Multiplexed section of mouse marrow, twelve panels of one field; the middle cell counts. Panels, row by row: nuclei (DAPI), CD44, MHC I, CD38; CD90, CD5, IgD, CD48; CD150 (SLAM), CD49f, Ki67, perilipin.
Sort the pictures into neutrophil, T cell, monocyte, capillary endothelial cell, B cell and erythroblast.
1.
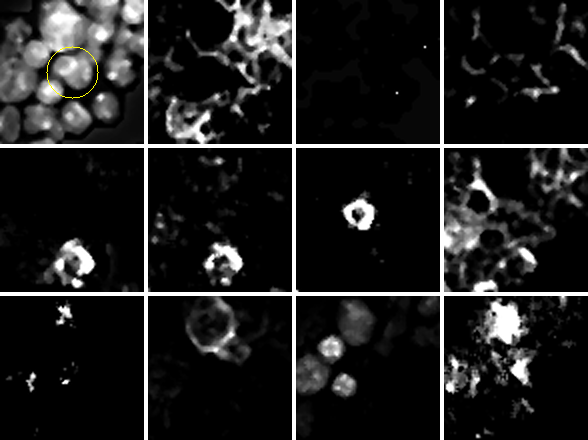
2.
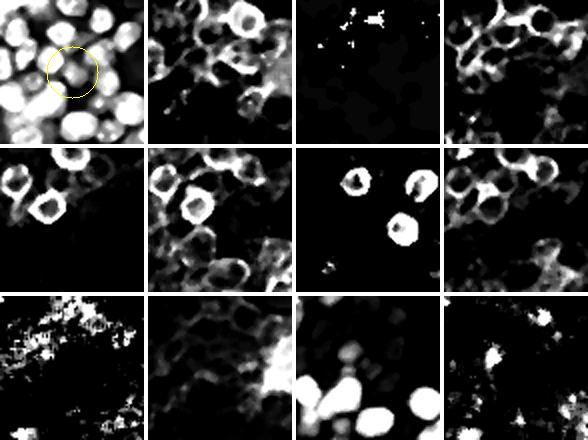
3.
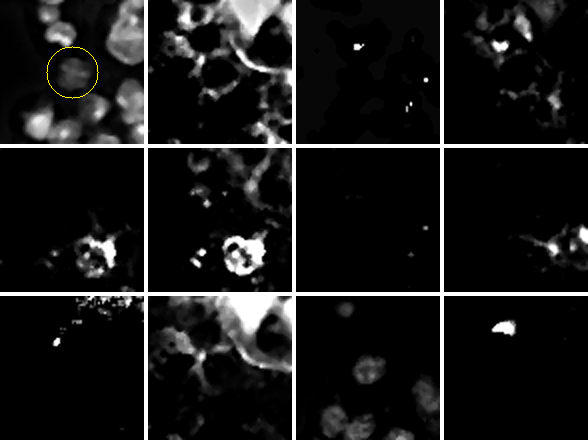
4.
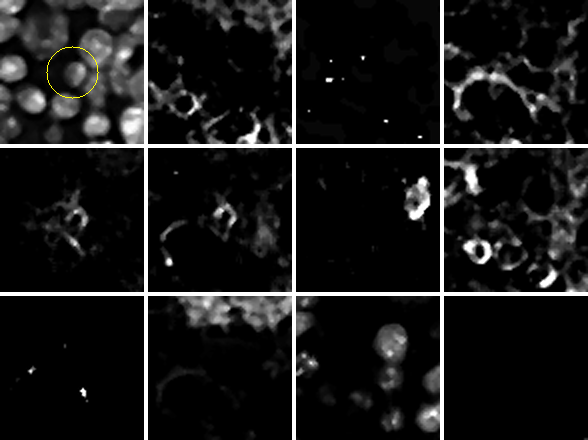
B cells: 1
Neutrophils: 2
Erythroblasts: 3
T cells: 4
